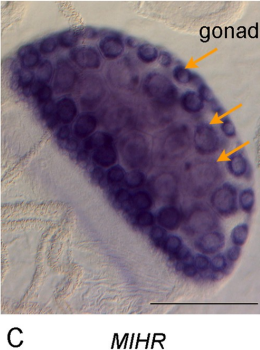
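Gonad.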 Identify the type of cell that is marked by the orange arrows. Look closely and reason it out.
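Large round cells packed within the gonad. Purple cytoplasm around a pale unstained centre. Cells of different sizes, smaller ones more intensely purple. That points to this answer: oocyte.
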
